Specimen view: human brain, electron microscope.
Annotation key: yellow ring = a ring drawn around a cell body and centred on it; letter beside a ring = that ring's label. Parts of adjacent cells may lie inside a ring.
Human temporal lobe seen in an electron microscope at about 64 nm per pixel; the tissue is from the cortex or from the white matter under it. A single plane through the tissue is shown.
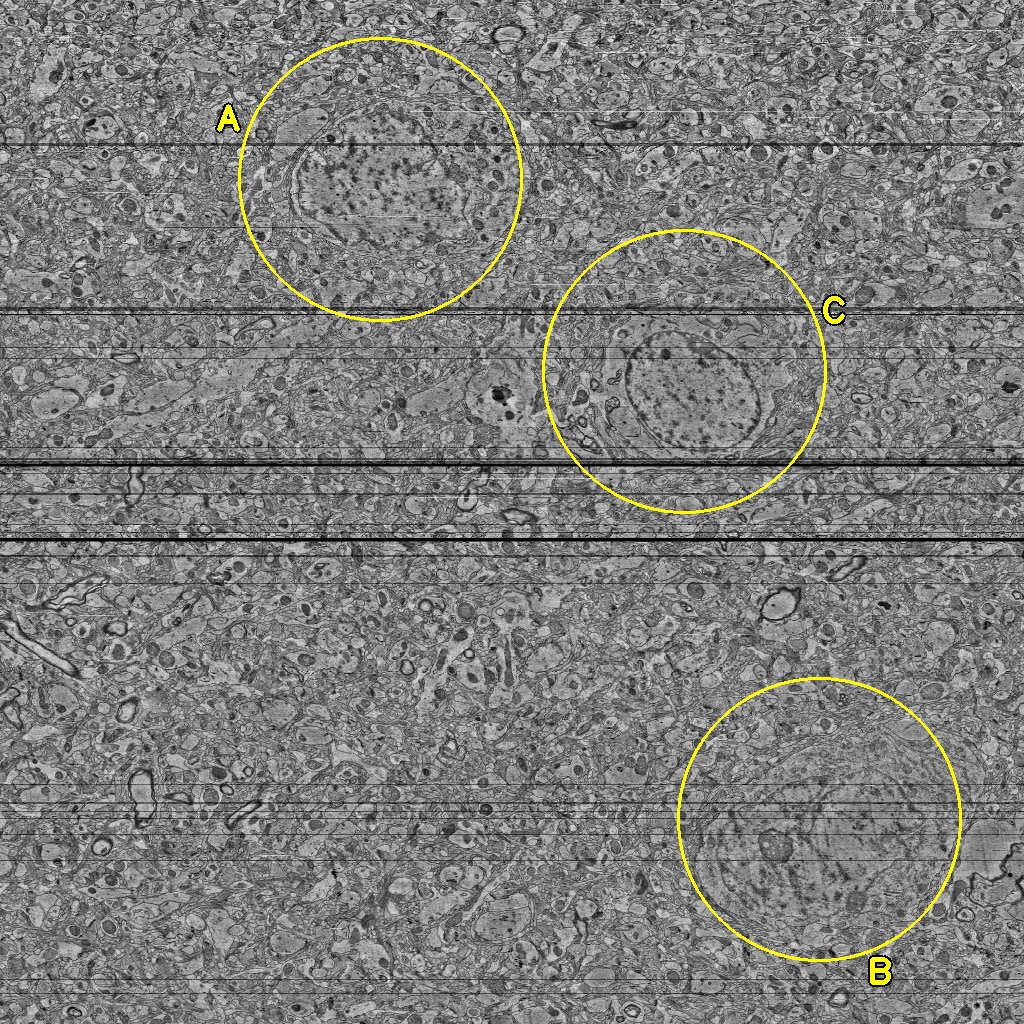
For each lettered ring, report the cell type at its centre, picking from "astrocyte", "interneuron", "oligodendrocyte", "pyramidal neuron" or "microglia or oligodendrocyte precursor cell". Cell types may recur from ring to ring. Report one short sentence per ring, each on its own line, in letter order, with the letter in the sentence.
The cell at the centre of ring A is an interneuron.
The cell at the centre of ring B is an interneuron.
The cell at the centre of ring C is an astrocyte.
